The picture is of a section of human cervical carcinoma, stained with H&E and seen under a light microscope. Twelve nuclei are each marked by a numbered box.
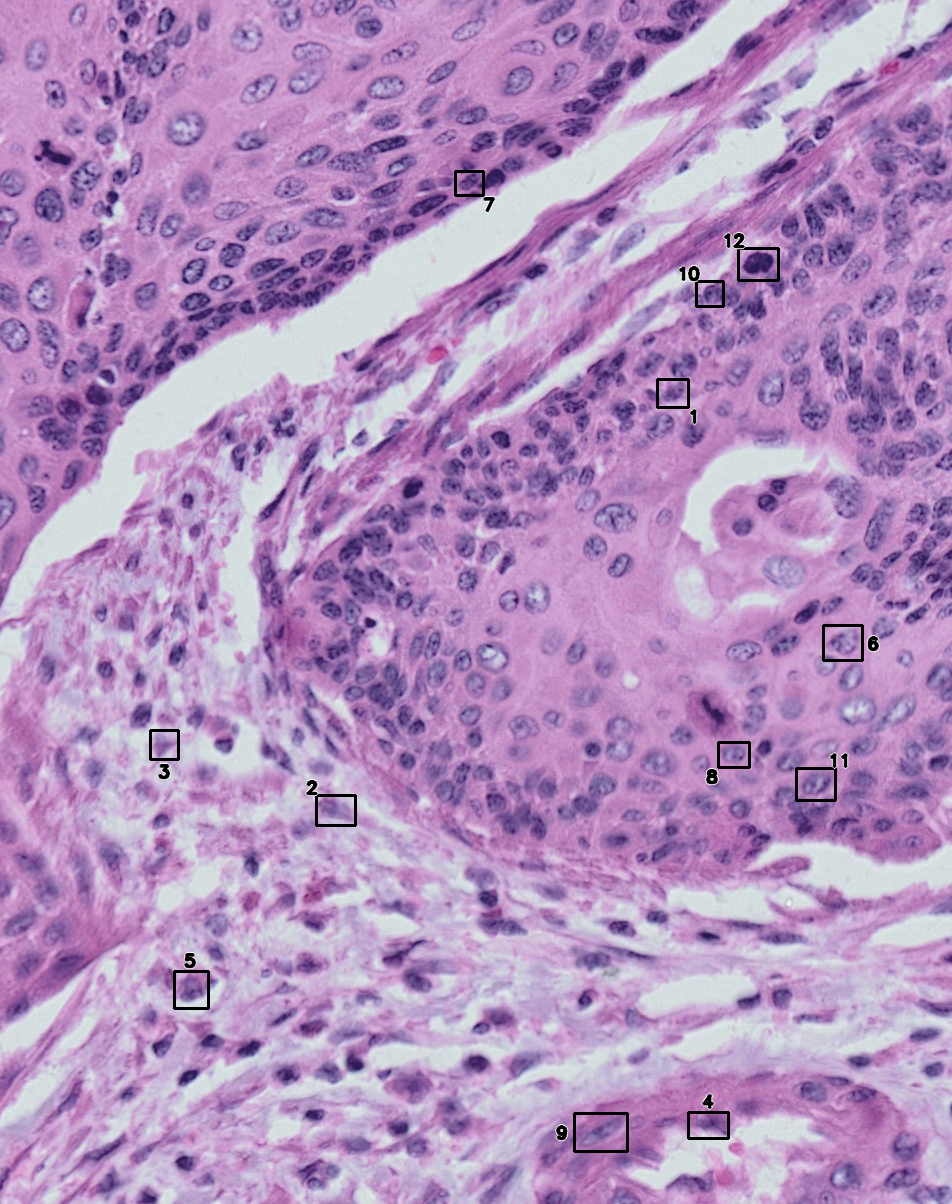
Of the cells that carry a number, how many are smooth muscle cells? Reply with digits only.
1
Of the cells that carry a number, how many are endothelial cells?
1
